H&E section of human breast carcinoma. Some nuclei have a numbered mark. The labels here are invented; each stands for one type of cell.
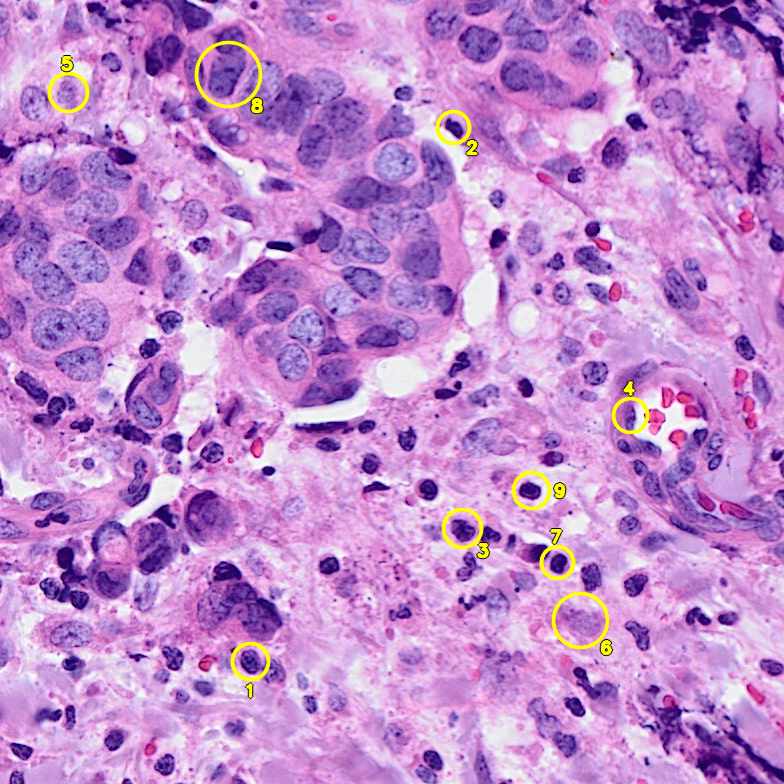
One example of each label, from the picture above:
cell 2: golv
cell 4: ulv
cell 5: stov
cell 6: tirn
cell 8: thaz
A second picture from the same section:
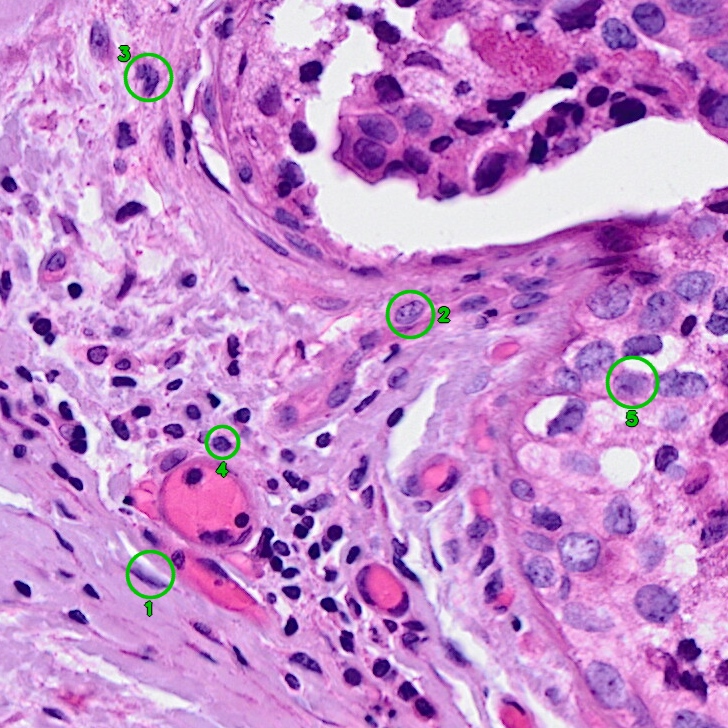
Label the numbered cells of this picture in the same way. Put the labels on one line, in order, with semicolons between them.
tirn; ulv; stov; golv; thaz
